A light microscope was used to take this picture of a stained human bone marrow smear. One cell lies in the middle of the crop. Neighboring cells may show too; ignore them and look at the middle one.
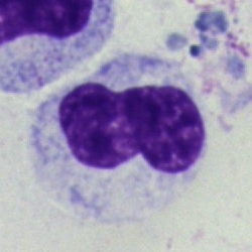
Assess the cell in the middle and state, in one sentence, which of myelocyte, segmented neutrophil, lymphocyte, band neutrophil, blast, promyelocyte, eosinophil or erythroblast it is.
The centrally placed cell is classified as a band neutrophil.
